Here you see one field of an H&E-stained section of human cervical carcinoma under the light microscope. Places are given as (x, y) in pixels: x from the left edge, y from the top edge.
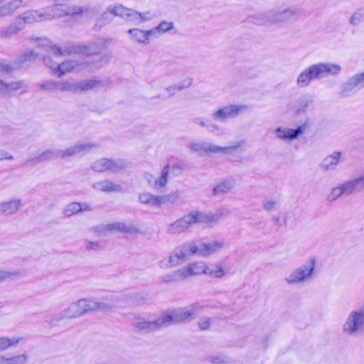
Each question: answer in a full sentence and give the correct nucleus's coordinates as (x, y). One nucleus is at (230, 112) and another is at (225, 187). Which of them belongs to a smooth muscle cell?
The nucleus at (225, 187) is the member of the pair belonging to a smooth muscle cell.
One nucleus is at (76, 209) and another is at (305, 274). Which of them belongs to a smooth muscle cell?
The nucleus at (76, 209) belongs to a smooth muscle cell, which distinguishes it from the other nucleus.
